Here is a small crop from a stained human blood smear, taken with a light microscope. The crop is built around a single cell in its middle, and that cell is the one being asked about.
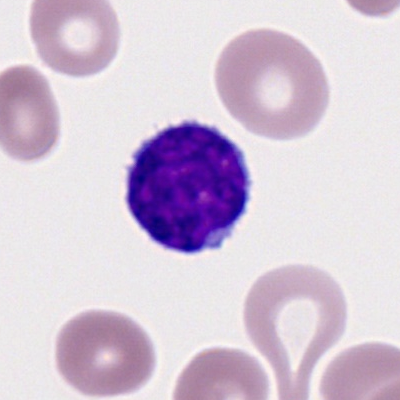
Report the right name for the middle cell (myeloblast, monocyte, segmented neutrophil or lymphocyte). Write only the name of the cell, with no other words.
lymphocyte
